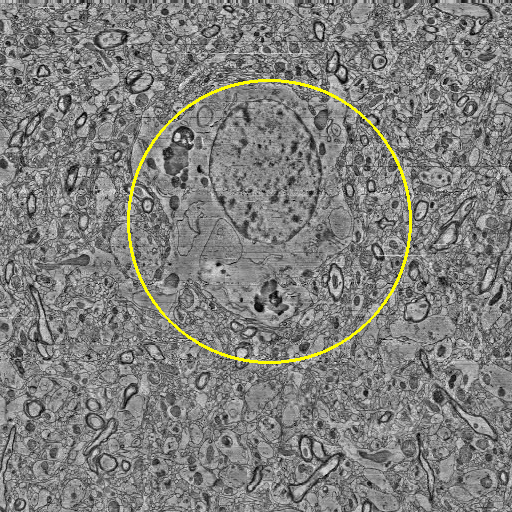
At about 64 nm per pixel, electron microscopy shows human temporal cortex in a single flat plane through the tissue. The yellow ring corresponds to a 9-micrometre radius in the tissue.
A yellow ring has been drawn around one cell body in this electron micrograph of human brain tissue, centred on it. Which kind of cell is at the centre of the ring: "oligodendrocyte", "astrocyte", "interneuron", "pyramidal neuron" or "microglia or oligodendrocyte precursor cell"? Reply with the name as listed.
astrocyte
